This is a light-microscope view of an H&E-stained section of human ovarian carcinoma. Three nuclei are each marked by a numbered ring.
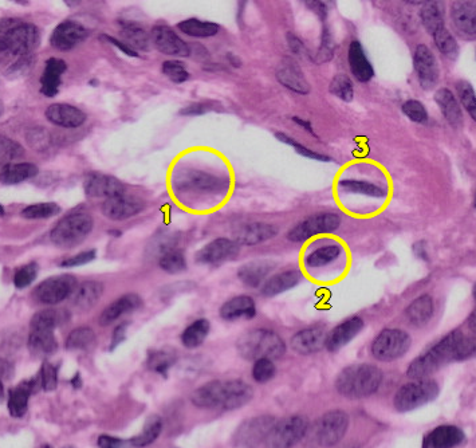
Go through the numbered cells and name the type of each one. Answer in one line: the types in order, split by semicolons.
fibroblast; macrophage or monocyte; fibroblast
